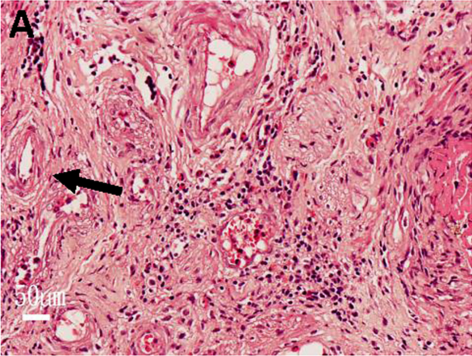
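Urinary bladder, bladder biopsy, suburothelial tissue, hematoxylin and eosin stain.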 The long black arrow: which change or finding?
vascular wall thickening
